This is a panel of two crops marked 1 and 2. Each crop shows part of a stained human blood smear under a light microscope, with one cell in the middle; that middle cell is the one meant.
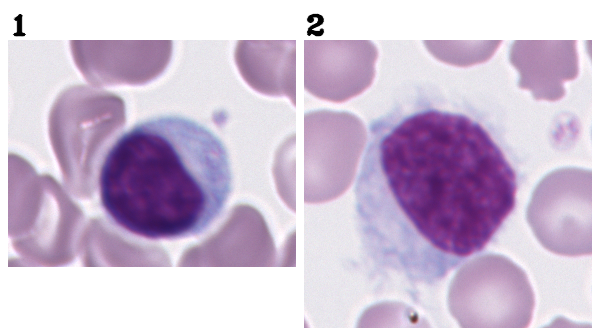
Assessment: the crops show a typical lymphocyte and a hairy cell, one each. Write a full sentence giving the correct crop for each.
Crop 1 is recognised as a typical lymphocyte, crop 2 as a hairy cell.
